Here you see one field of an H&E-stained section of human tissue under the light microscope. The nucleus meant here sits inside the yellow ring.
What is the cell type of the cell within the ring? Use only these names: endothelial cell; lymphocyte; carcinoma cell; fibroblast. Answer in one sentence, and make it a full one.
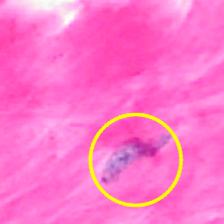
Right, so the cell within the ring is a fibroblast, to answer that.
